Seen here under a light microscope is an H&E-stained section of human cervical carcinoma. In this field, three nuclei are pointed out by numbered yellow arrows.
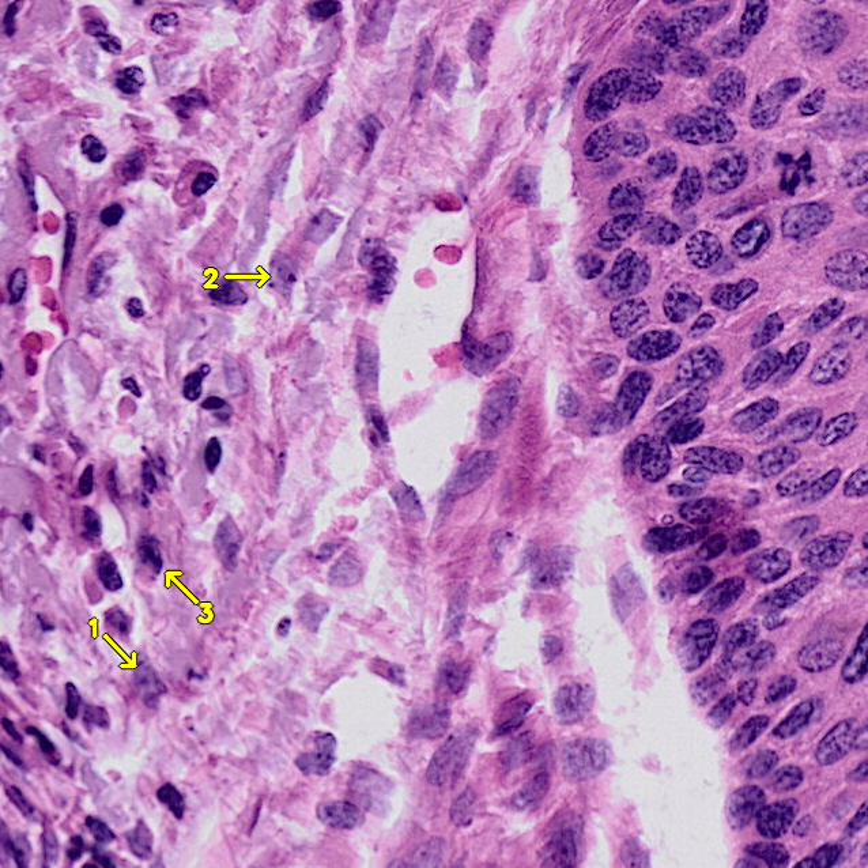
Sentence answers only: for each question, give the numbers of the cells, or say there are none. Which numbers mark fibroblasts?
The cells numbered 1 and 2 are of one kind: fibroblasts.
